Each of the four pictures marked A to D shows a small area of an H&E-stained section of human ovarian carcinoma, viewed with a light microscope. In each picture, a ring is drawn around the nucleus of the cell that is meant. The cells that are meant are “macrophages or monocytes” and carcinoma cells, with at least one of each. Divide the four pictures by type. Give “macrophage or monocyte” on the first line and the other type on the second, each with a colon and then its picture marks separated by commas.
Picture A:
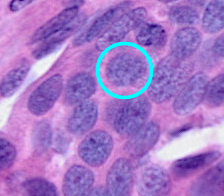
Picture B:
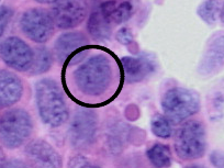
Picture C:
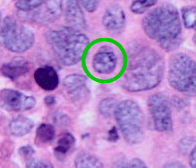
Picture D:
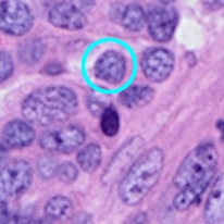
macrophage or monocyte: C
carcinoma cell: A, B, D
